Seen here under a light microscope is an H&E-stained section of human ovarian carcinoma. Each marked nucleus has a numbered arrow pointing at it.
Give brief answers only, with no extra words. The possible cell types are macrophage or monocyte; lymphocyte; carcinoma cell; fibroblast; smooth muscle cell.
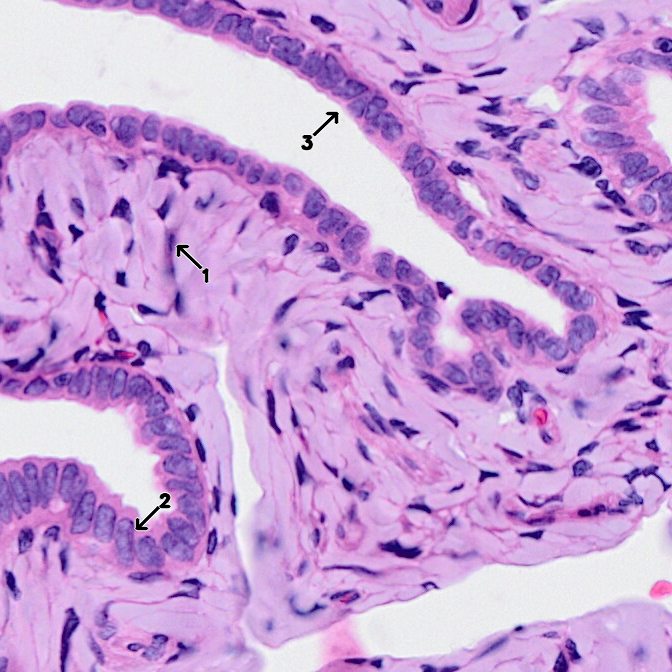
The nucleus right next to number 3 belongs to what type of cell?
carcinoma cell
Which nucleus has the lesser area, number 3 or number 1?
1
